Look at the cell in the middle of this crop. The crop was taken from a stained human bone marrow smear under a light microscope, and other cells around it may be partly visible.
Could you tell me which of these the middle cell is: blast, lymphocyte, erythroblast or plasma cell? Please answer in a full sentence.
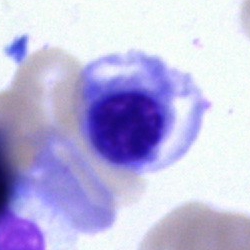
Among the cells in view, the one in the middle is an erythroblast.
